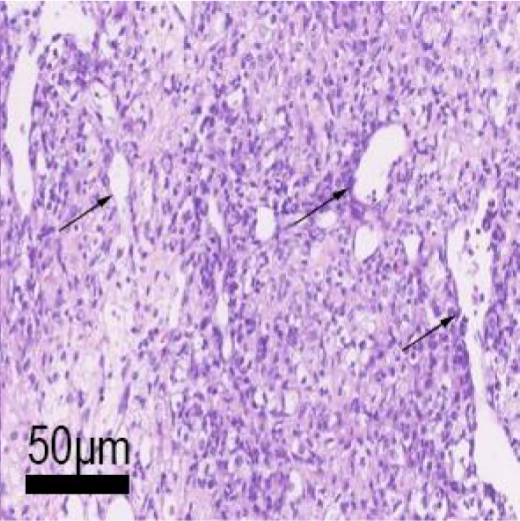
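This field shows tumor cells with dark purple nuclei lying in a looser arrangement than a solid sheet, with pale pink material between groups of cells. Several elongated, narrow, empty channels run through the tissue, some branching and irregular in outline. These clear slit-like spaces lie directly among the tumor cells. In places the cells thin out, leaving paler areas with fewer nuclei. The channels are consistent with slit-like blood vessels within a partly sparse tumor.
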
